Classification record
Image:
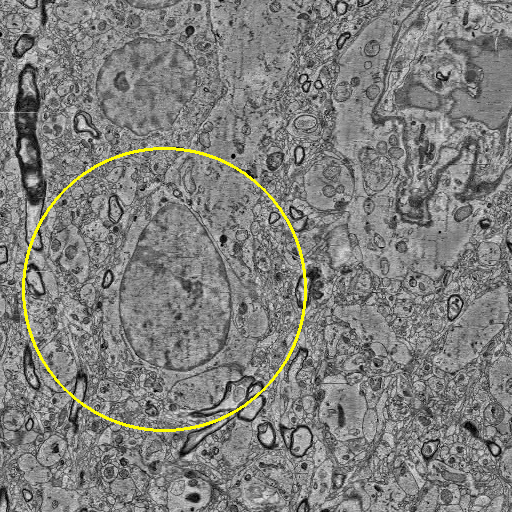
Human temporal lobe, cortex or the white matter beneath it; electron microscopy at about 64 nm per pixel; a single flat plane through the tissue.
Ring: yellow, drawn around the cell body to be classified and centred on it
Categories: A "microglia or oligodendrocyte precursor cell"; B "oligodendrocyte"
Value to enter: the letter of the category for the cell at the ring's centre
A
